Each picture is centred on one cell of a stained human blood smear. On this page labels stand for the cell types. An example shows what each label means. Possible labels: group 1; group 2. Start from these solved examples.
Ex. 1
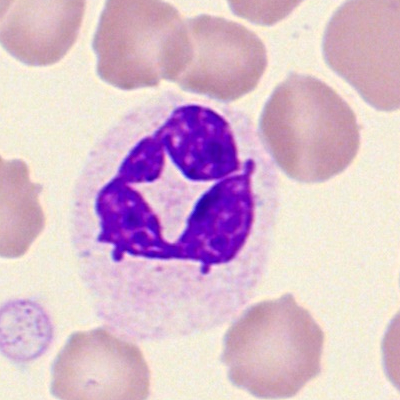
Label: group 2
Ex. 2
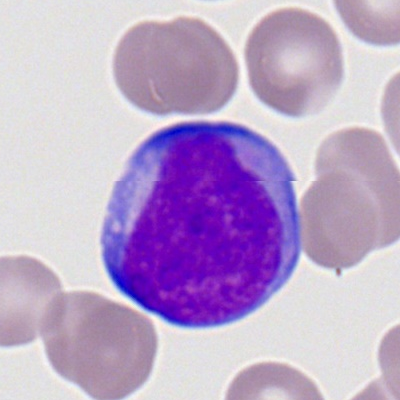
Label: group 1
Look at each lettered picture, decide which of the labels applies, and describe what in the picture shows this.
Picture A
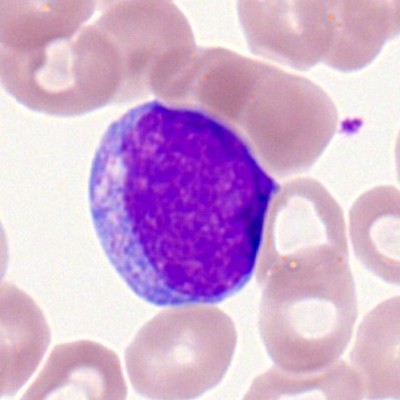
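group 1: The nucleus fills most of the cell.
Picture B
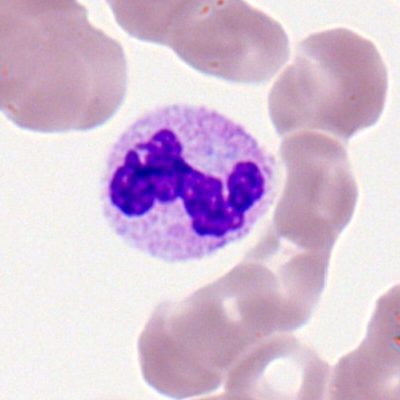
group 2: The cytoplasm is plentiful and pale pinkish-lilac.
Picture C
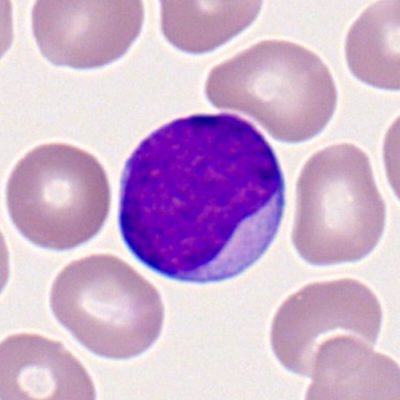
group 1: A scant rim of pale blue cytoplasm forms a crescent at the lower right of the cell.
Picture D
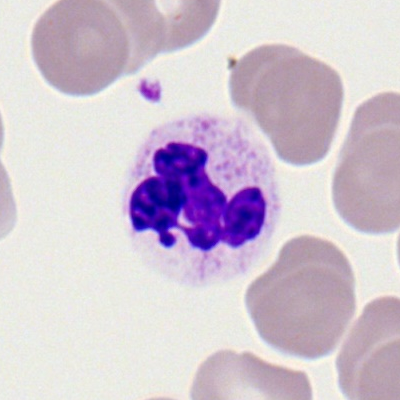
group 2: The cytoplasm is pale pink.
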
